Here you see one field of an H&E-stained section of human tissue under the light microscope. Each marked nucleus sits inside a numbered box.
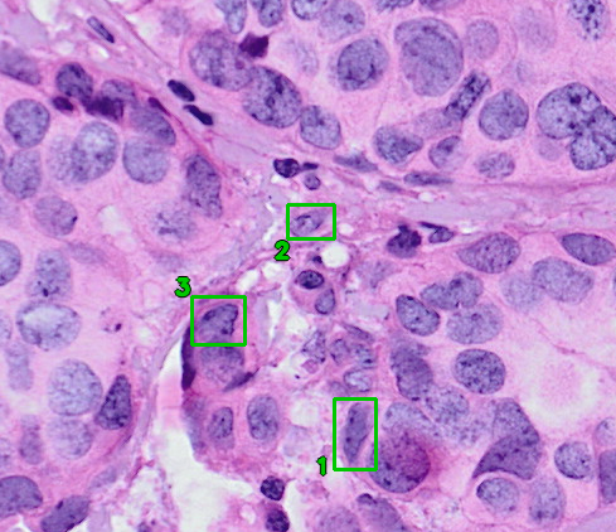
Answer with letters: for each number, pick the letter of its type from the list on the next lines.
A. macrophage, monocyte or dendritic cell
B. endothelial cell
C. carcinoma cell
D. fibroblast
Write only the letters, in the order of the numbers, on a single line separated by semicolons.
C; A; C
